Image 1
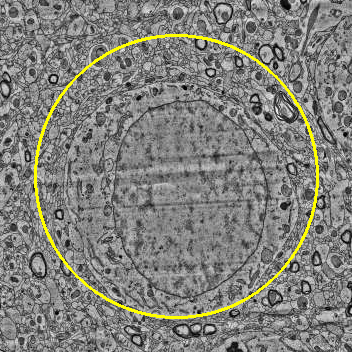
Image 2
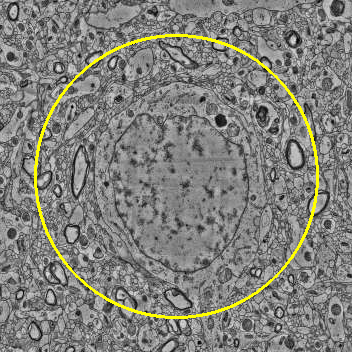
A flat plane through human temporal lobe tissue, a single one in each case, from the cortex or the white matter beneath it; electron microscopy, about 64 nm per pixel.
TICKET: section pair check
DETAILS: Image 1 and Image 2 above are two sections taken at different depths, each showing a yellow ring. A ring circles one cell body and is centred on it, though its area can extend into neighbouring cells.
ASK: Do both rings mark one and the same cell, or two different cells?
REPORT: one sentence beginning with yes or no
No, the yellow rings mark two cells that are not the same.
